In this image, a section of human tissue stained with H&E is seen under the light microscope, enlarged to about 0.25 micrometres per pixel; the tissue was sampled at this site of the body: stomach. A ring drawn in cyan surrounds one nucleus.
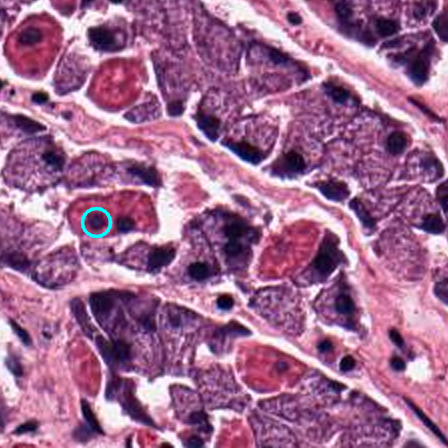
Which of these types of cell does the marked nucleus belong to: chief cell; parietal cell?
parietal cell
